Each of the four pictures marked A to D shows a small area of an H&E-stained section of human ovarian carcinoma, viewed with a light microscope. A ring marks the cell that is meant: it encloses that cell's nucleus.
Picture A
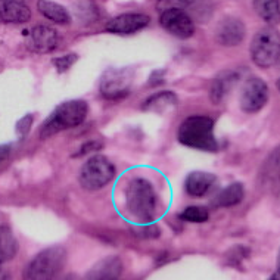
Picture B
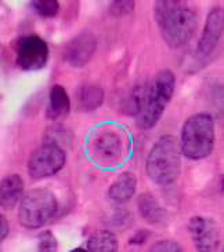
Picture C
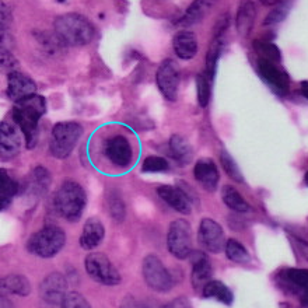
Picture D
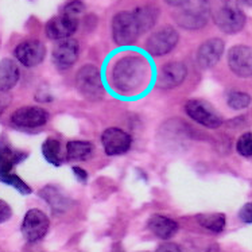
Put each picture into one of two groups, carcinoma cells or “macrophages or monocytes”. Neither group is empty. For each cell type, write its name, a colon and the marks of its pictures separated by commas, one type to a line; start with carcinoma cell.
carcinoma cell: A, C, D
macrophage or monocyte: B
